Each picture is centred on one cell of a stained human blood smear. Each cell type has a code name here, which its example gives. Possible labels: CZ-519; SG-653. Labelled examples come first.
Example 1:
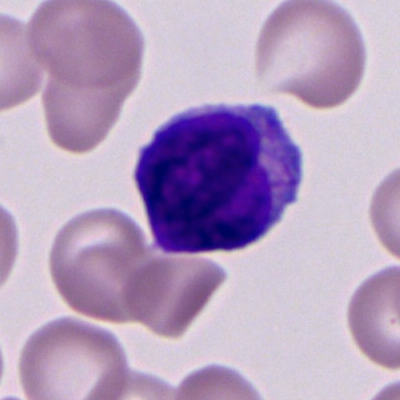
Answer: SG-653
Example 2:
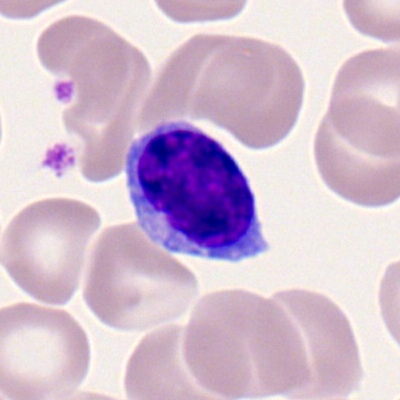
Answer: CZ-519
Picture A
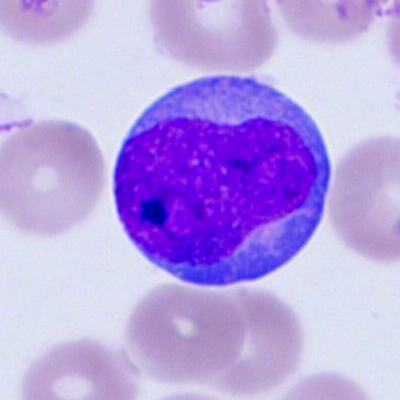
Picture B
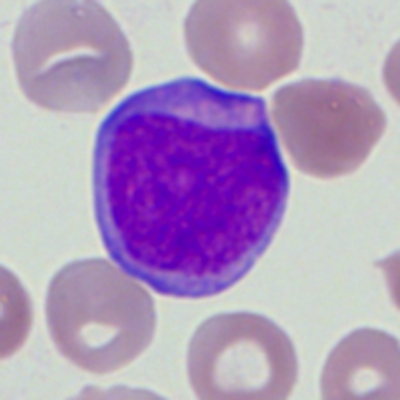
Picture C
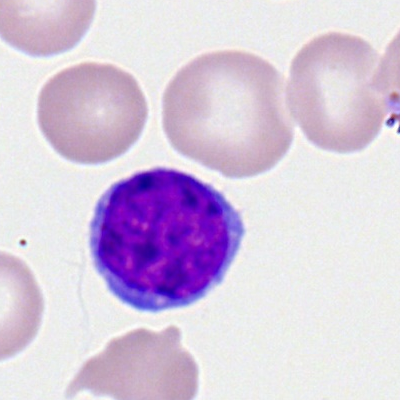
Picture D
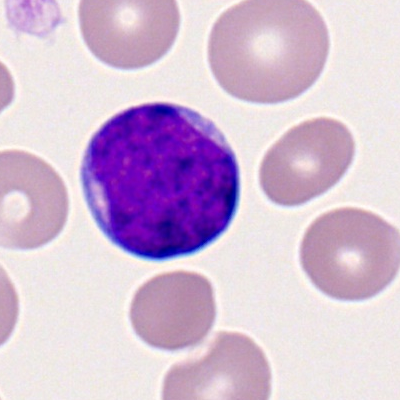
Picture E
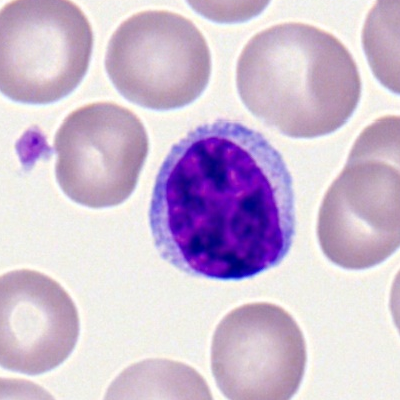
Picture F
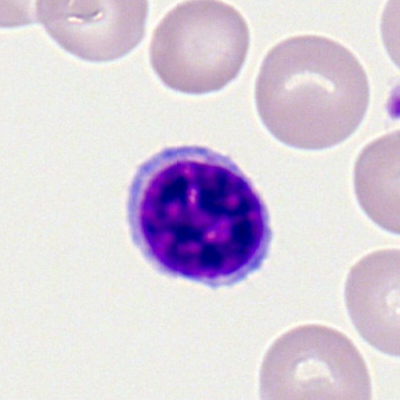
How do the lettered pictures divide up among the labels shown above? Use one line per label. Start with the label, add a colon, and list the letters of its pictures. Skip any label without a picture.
CZ-519: C, E, F
SG-653: A, B, D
